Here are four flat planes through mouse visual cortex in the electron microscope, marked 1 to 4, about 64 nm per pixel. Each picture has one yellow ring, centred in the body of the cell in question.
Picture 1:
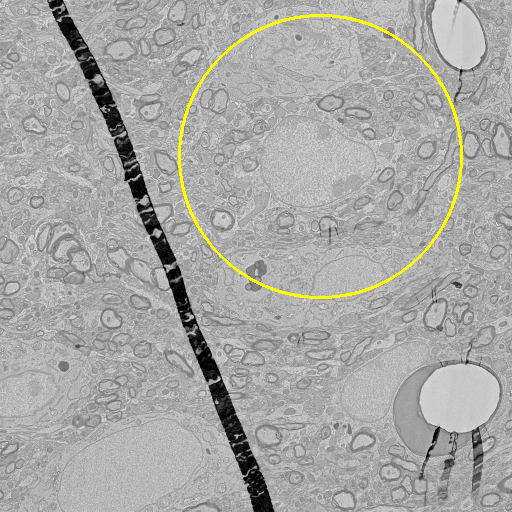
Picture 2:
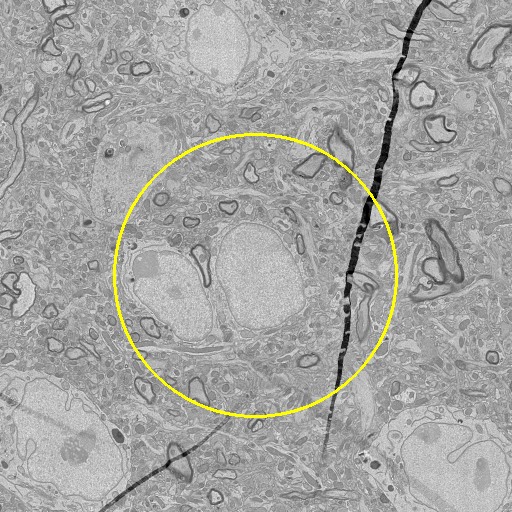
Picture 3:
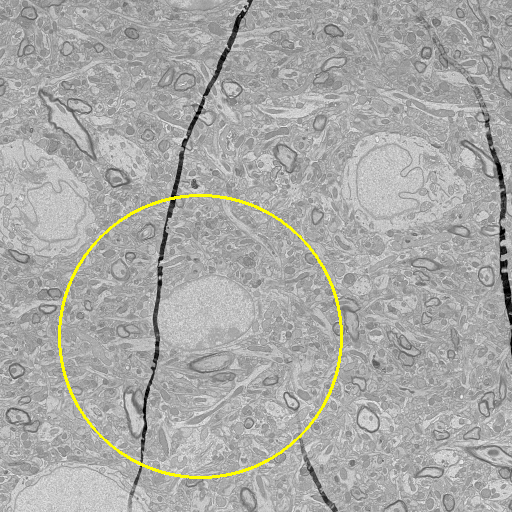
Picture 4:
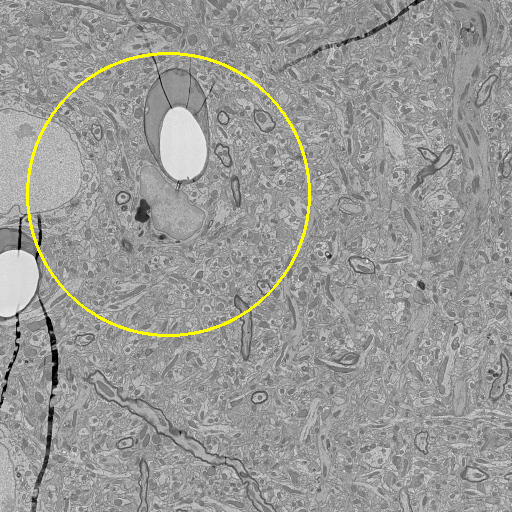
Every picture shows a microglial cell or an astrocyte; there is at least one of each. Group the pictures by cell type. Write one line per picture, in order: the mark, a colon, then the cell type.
1: astrocyte
2: astrocyte
3: astrocyte
4: microglial cell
